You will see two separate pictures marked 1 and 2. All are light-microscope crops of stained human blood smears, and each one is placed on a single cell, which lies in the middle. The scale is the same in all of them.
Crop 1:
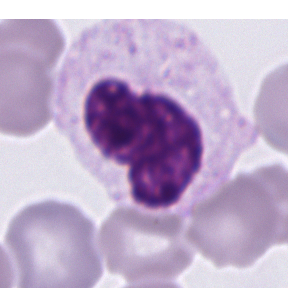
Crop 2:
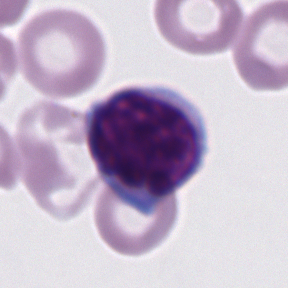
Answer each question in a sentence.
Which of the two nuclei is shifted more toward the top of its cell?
In crop 2 the nucleus is shifted more toward the top.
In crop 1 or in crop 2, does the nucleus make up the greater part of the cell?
It is the cell in crop 2 that is filled more by its nucleus.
